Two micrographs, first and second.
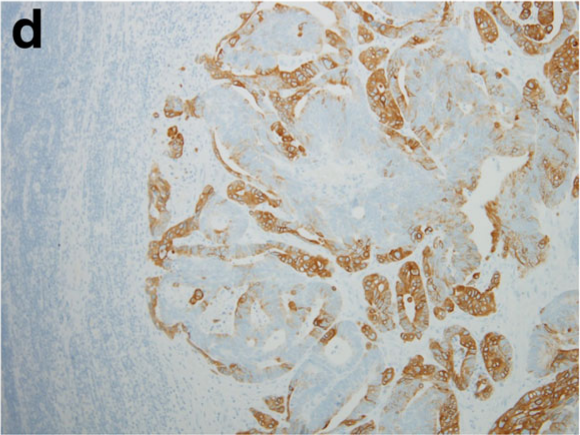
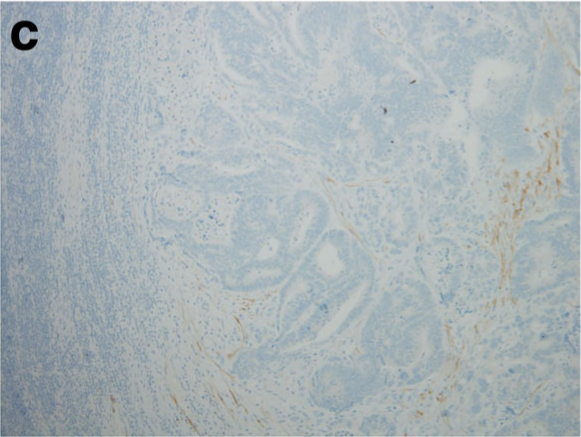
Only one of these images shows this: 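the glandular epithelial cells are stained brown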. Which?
the first image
